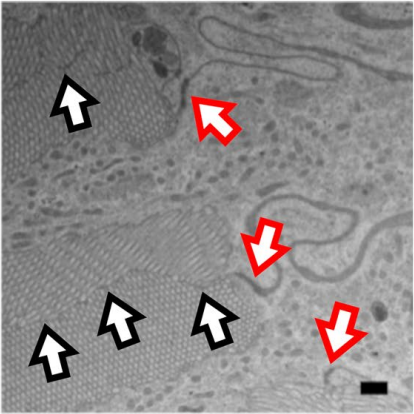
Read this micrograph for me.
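This electron micrograph shows rhabdomeres of photoreceptor cells, seen as blocks of densely packed microvilli cut in cross and oblique section so that they form a honeycomb-like pattern. Thin dark lines cross these arrays, forming a septum-like structure within the rhabdomeres. Beside the arrays lies cytoplasm with vesicles, membrane profiles and a mitochondrion. Where neighbouring cells meet, short dark membrane thickenings mark junctions between them.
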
